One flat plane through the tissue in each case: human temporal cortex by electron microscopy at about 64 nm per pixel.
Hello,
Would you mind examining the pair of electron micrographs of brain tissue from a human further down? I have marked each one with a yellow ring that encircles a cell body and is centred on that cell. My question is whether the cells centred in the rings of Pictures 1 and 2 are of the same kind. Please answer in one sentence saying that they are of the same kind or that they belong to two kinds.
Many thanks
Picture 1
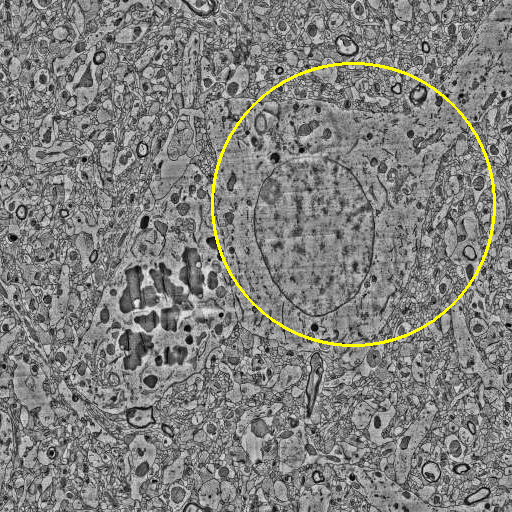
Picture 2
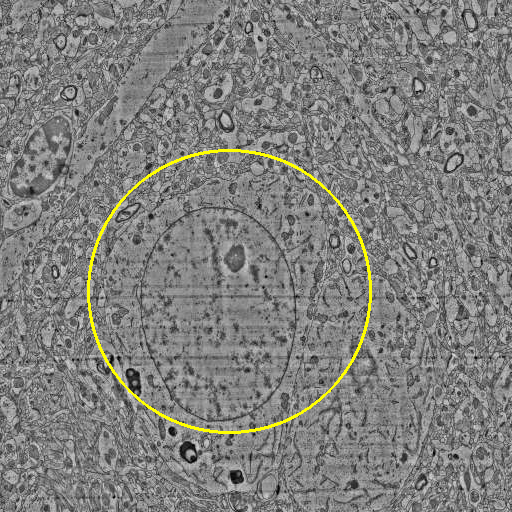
In Pictures 1 and 2, the cells at the heart of the rings are of the same kind.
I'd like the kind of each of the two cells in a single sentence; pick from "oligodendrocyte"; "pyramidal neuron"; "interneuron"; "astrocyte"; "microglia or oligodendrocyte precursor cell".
Both the first and the second picture show a pyramidal neuron in the ring.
